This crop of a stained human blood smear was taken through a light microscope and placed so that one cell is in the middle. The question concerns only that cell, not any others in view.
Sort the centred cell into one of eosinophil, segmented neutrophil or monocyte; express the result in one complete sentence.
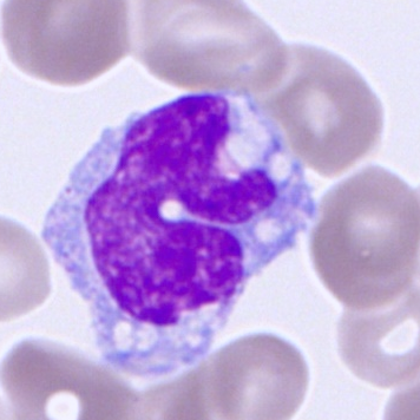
The cell centered in this field of view is a monocyte.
